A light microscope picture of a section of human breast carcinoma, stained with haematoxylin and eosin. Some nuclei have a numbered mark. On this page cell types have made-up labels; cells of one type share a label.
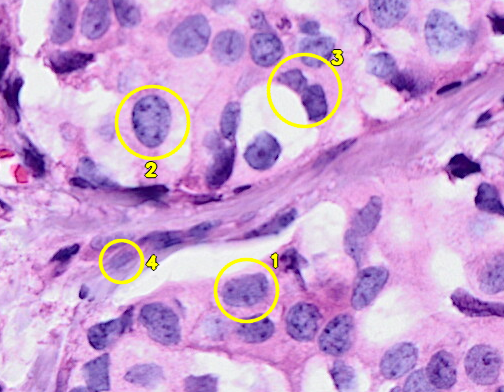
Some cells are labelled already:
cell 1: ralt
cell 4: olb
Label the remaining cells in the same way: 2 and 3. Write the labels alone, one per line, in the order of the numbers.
ralt
ralt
